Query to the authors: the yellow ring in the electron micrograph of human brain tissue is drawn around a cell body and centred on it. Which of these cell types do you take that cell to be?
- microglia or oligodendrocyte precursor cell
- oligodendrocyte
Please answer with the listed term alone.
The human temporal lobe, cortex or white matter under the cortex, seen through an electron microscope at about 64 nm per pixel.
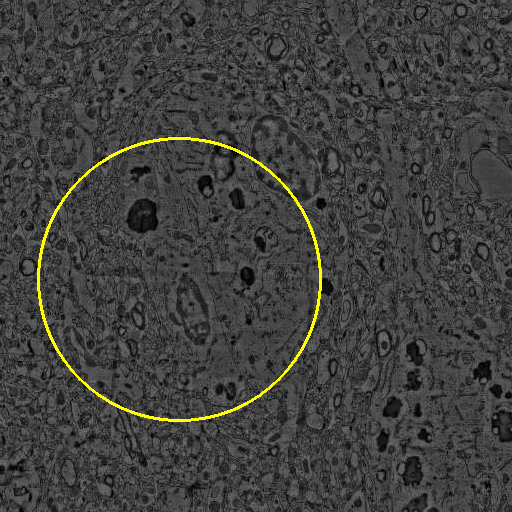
microglia or oligodendrocyte precursor cell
